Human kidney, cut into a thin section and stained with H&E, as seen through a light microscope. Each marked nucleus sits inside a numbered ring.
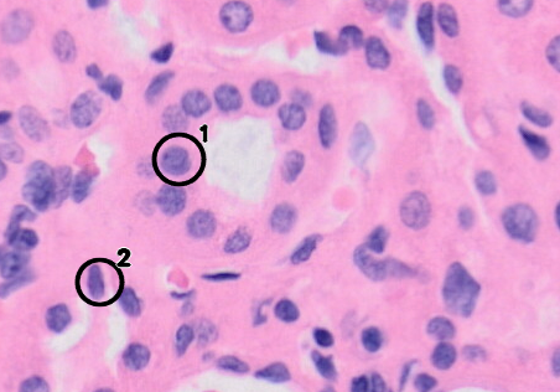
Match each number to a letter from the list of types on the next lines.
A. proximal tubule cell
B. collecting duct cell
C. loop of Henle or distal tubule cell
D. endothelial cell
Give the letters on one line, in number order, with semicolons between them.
B; C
